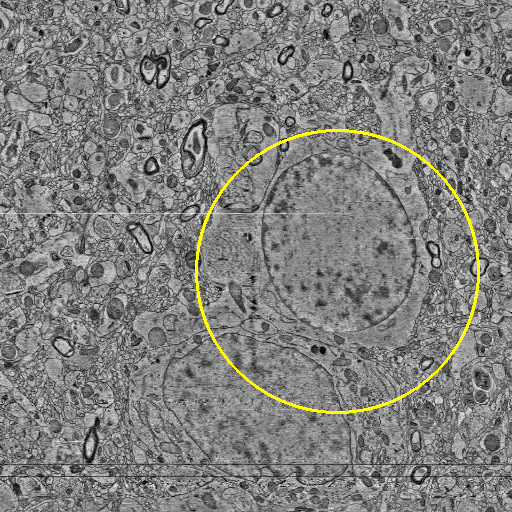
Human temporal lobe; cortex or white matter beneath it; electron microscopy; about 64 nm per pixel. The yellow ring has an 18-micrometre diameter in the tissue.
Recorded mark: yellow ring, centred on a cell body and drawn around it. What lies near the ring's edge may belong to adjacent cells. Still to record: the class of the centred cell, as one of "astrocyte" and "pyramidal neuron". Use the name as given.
astrocyte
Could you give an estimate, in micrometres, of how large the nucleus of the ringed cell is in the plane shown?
Roughly 12 by 10 micrometres is the size of the nucleus in this plane.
